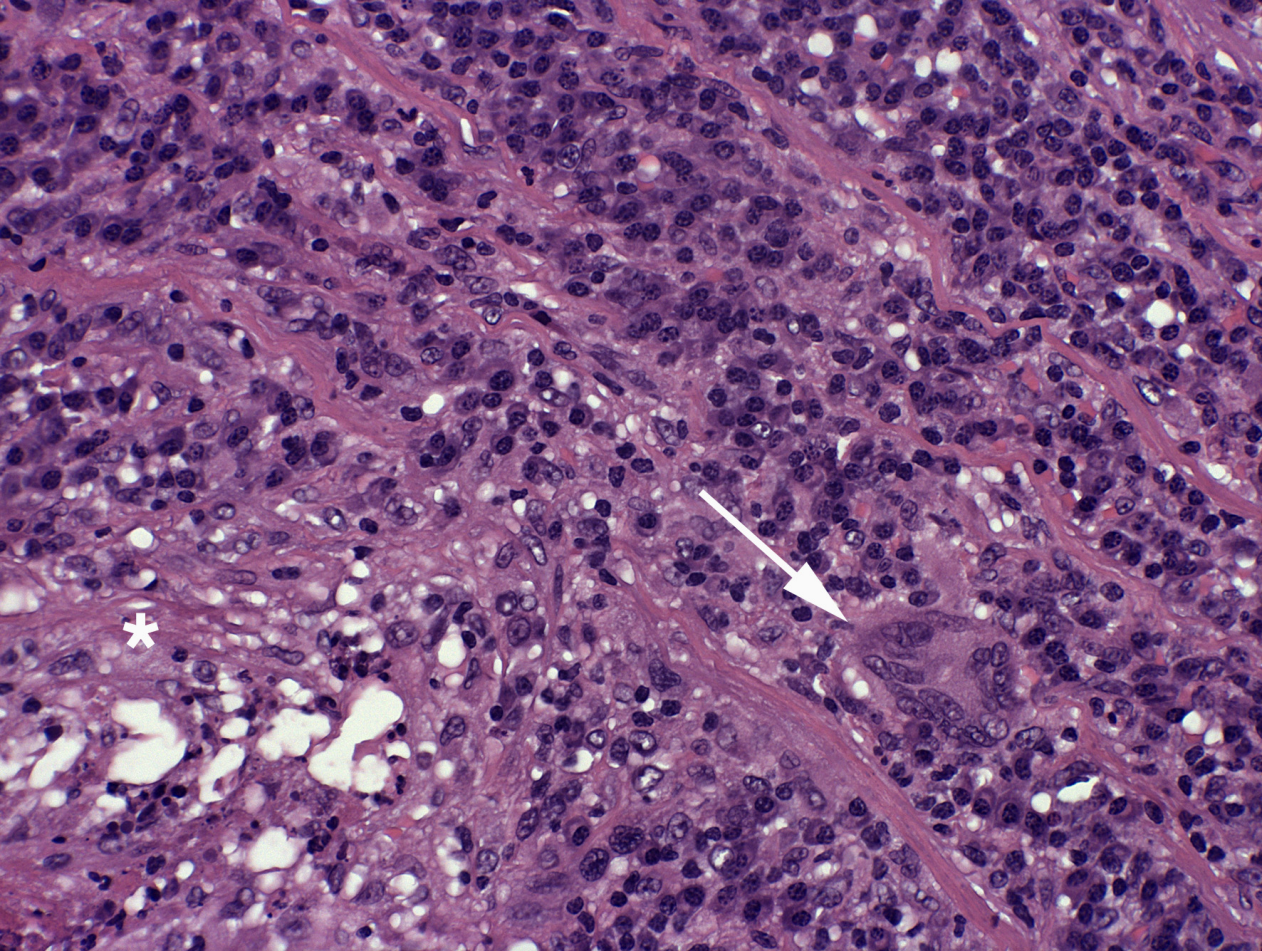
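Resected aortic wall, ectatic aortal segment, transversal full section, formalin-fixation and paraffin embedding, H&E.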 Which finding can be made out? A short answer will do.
Dense and focally destructive inflammatory reaction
